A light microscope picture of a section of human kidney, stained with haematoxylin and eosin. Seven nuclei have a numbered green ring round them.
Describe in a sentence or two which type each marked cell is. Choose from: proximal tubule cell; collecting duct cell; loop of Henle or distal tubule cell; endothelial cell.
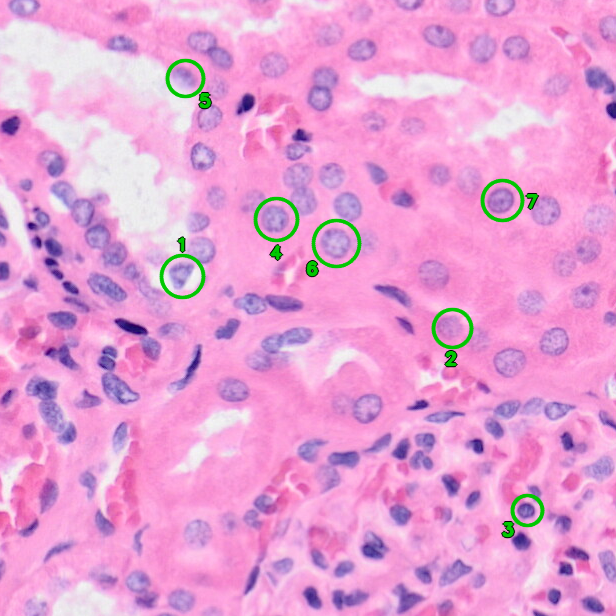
Cell 1 is a loop of Henle or distal tubule cell, cell 2 is a proximal tubule cell, cell 3 is an endothelial cell, cell 4 is a loop of Henle or distal tubule cell, cell 5 is a loop of Henle or distal tubule cell, cell 6 is a loop of Henle or distal tubule cell and cell 7 is a proximal tubule cell.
